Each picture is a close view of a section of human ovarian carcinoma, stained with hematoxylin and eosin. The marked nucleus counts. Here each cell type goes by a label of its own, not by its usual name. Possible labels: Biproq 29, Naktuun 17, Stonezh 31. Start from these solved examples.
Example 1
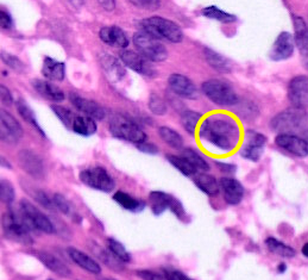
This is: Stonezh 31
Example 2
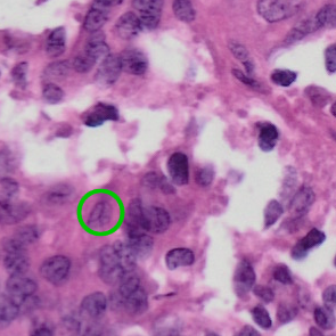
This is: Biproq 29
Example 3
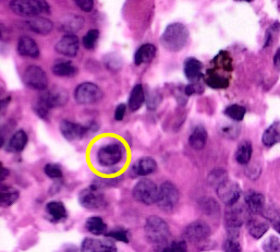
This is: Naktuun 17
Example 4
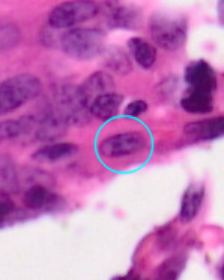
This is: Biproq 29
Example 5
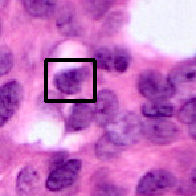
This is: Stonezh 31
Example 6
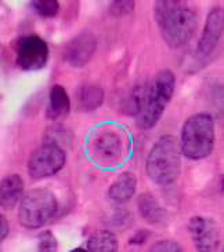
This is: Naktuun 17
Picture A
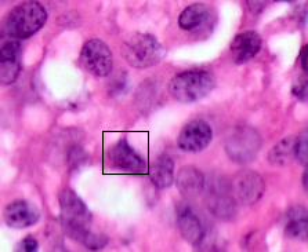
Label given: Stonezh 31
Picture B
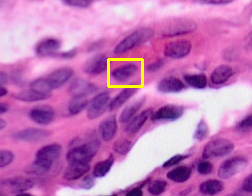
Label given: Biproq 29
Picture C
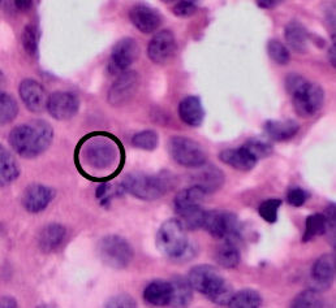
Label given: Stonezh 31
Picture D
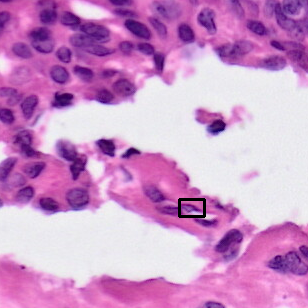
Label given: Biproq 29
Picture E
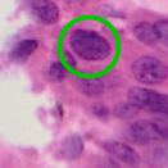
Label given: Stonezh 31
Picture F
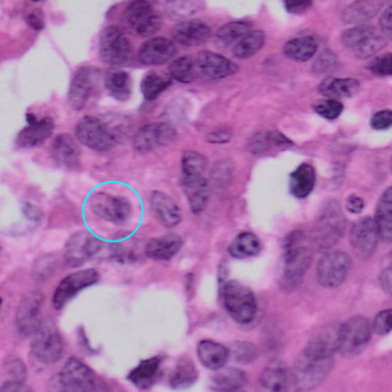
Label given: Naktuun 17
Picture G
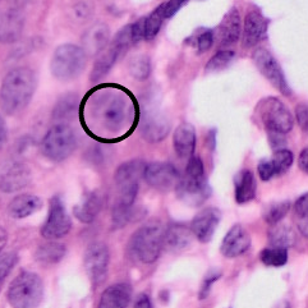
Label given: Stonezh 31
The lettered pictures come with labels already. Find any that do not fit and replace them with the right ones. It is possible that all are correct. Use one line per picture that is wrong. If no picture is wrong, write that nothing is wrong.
Every label is right.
